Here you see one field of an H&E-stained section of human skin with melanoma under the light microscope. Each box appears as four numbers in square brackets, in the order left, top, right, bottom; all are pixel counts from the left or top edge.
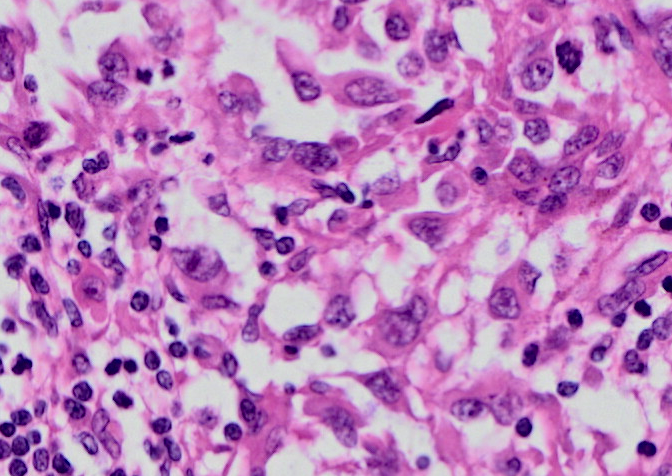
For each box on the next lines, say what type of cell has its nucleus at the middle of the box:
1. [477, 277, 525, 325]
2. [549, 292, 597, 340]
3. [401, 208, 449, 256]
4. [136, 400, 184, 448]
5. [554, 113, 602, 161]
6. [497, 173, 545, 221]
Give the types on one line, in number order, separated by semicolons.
melanoma cell; lymphocyte; melanoma cell; lymphocyte; melanoma cell; melanoma cell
